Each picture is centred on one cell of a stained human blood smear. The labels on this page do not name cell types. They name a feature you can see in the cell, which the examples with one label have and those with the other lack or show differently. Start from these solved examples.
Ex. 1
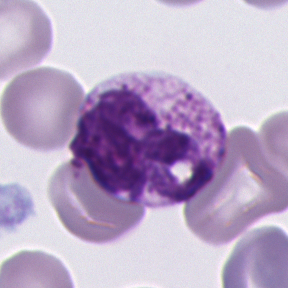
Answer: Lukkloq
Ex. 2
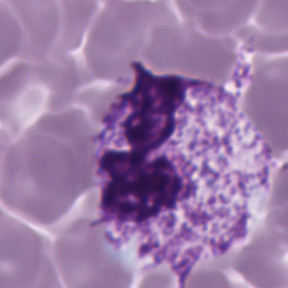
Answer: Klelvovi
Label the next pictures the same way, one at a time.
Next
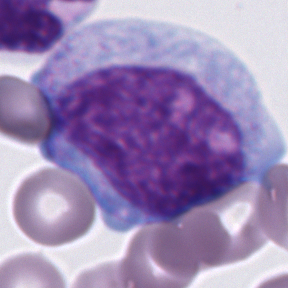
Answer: Lukkloq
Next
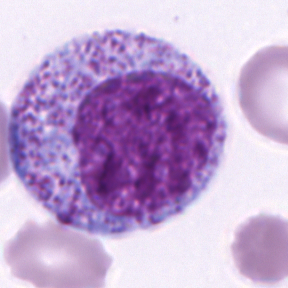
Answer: Klelvovi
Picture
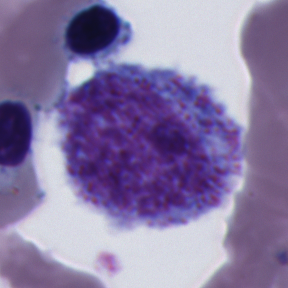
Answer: Klelvovi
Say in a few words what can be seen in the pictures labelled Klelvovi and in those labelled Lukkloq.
Klelvovi, coarse or large granules; Lukkloq, fine or small granules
